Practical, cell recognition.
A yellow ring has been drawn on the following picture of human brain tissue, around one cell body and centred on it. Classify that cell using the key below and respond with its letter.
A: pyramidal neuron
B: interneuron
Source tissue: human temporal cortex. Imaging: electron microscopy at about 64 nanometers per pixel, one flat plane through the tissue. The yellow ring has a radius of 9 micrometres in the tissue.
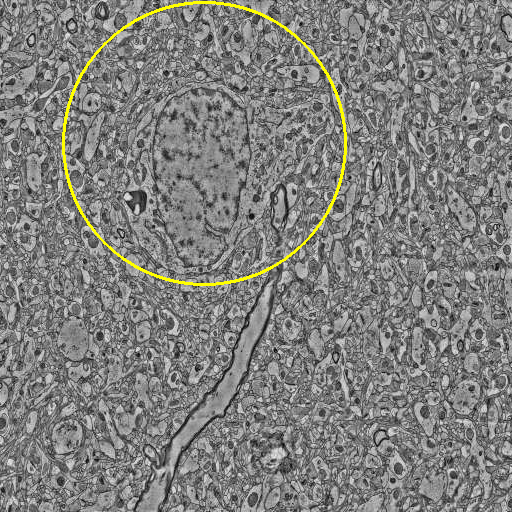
B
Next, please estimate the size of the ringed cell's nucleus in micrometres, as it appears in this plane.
Approximately 10 x 6 micrometres in this plane.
